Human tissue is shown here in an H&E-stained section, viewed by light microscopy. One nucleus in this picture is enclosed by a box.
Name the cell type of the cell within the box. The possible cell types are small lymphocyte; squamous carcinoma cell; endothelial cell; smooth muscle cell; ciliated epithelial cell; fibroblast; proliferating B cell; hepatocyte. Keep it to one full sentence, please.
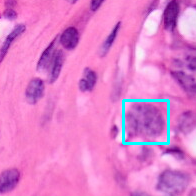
Within the stained tissue, the cell within the box is a ciliated epithelial cell.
